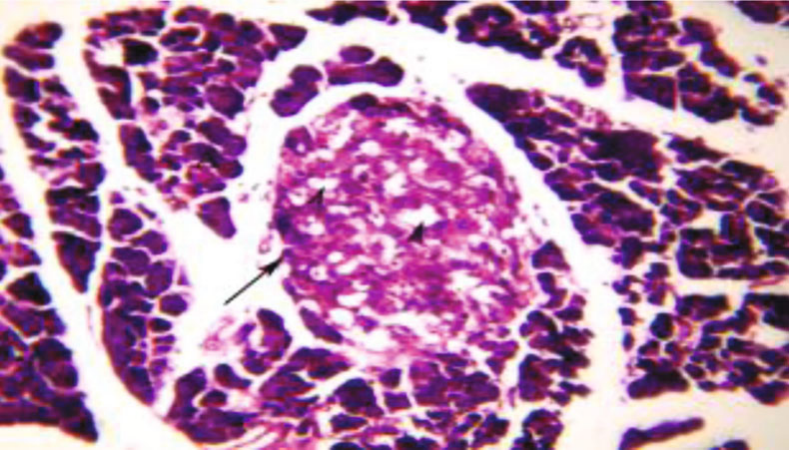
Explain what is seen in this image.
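Pancreatic tissue shows a pancreatic islet, a rounded, pale pink cluster of cells, in the centre of the field. It is surrounded by a clear space and by darkly stained purple acini. Within the islet, many clear, empty-looking spaces lie between the cells, which gives it a foamy, irregular look. Around it, the acini appear as small, dense, deeply purple clumps of cells. Wide pale gaps separate these clumps from one another, so the exocrine tissue looks shrunken and loosely arranged rather than closely packed.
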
